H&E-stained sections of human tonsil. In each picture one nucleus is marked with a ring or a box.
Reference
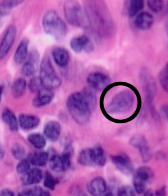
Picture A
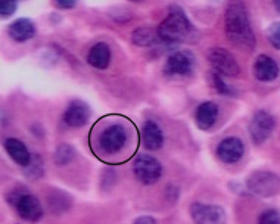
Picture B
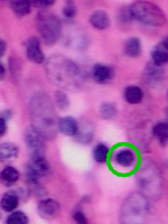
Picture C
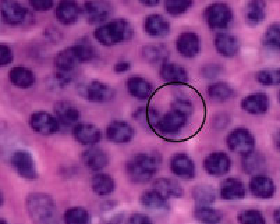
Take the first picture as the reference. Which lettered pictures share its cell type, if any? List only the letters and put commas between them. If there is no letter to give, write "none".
B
